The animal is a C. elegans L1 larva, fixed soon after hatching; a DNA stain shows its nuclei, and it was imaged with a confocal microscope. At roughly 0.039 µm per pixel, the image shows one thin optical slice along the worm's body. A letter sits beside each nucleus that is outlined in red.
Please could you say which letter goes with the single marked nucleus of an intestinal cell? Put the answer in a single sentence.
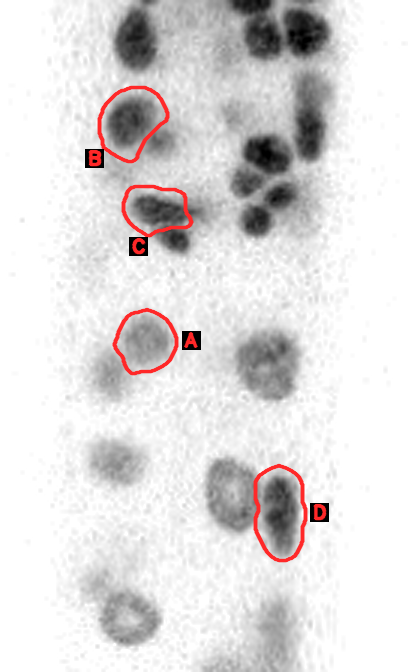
Of the marked nuclei, A is the one in an intestinal cell.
